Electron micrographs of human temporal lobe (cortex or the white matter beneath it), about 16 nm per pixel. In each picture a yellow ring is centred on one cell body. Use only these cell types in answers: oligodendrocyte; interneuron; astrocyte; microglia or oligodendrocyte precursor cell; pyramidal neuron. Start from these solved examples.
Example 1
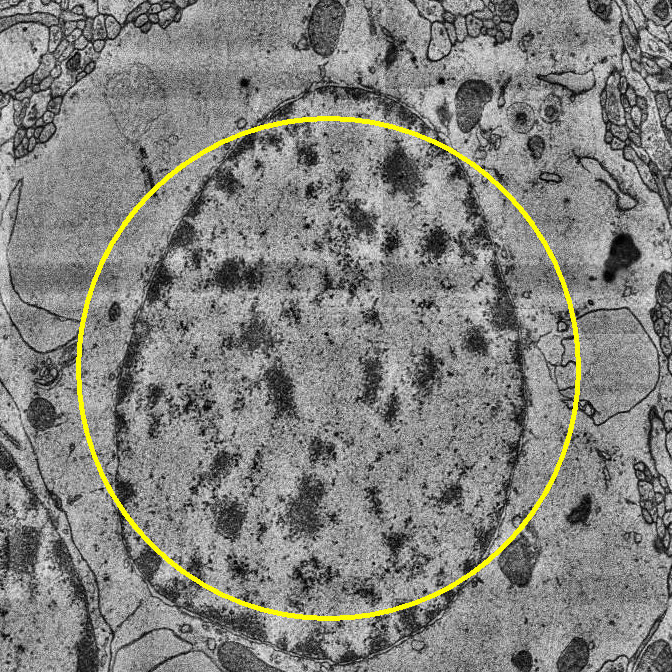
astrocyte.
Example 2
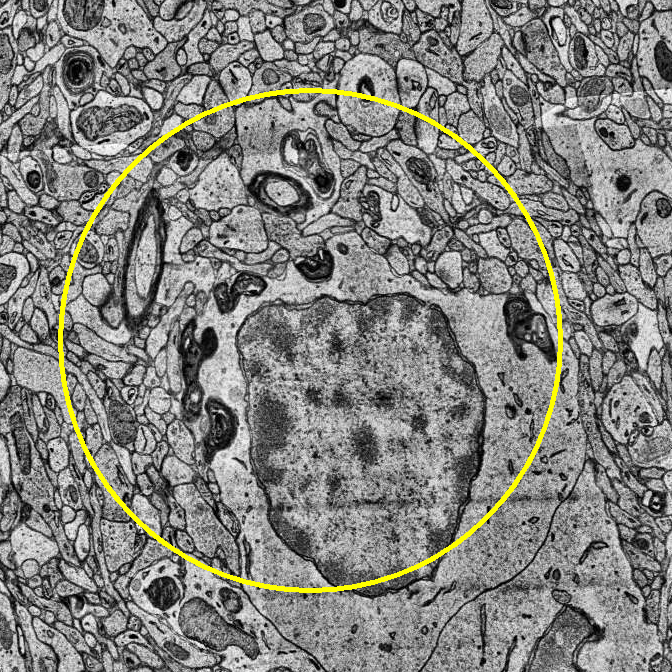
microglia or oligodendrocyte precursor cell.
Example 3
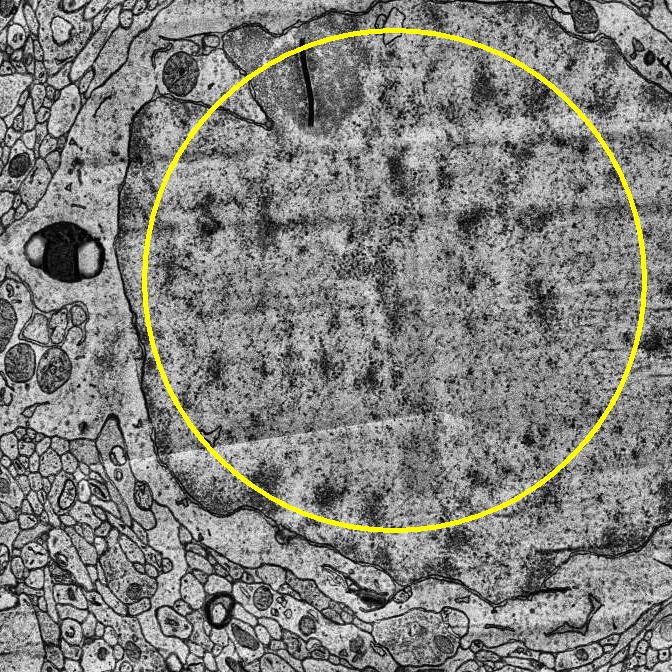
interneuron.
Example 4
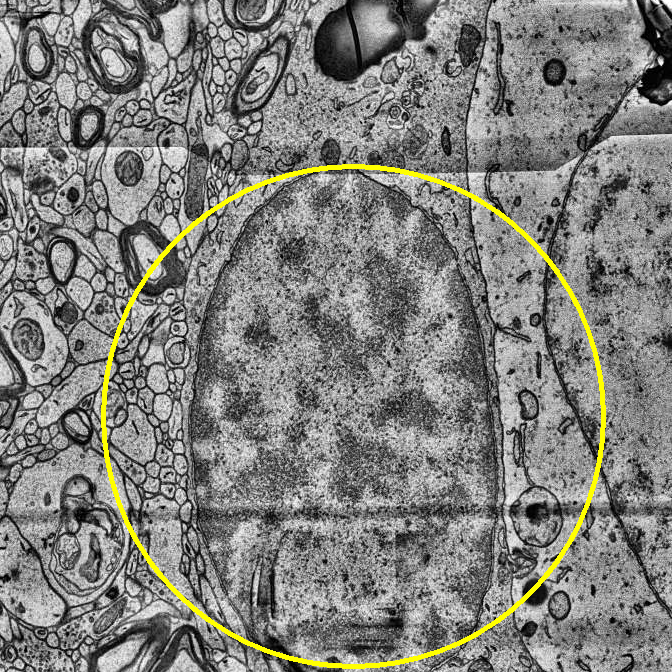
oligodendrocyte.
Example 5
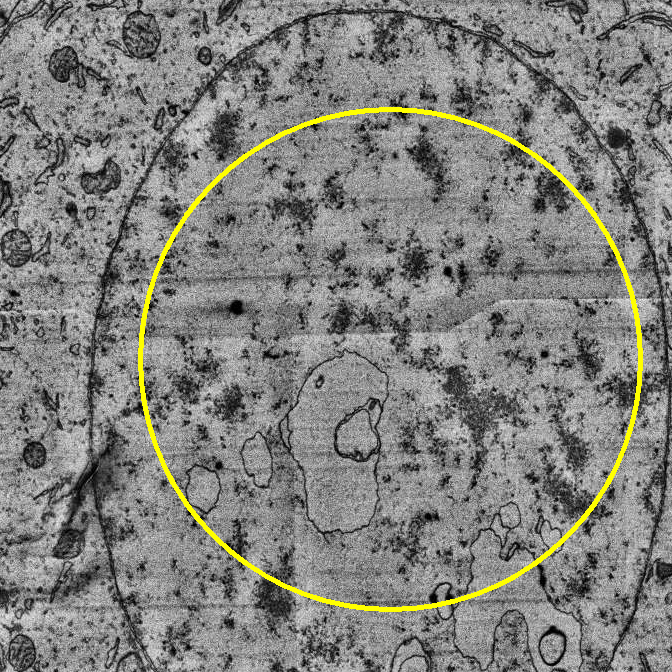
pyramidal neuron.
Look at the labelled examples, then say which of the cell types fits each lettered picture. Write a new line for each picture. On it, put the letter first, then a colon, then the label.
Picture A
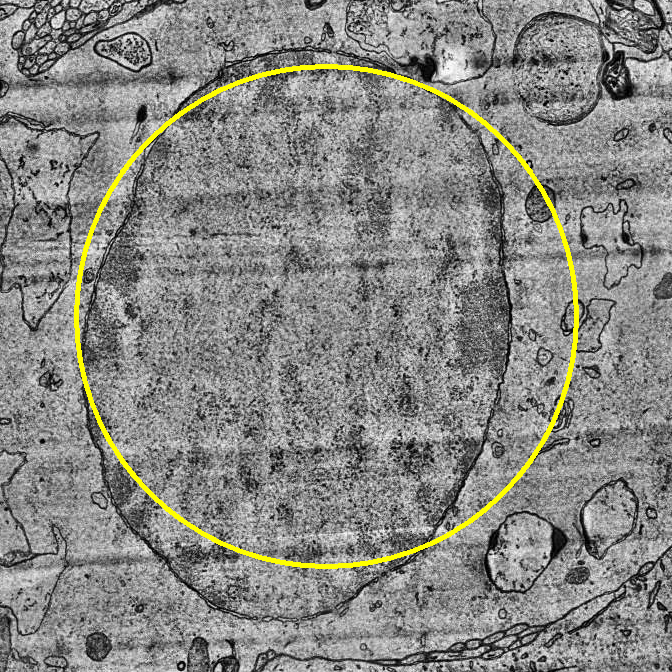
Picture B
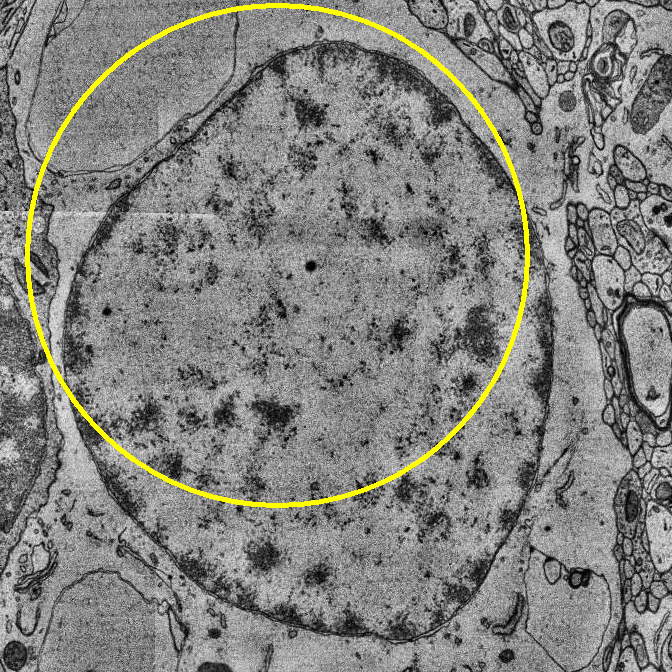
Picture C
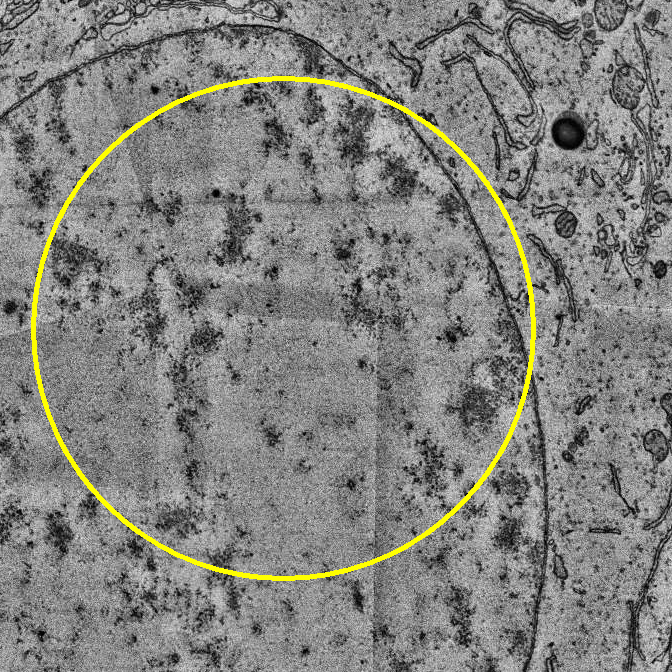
A: astrocyte.
B: astrocyte.
C: pyramidal neuron.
